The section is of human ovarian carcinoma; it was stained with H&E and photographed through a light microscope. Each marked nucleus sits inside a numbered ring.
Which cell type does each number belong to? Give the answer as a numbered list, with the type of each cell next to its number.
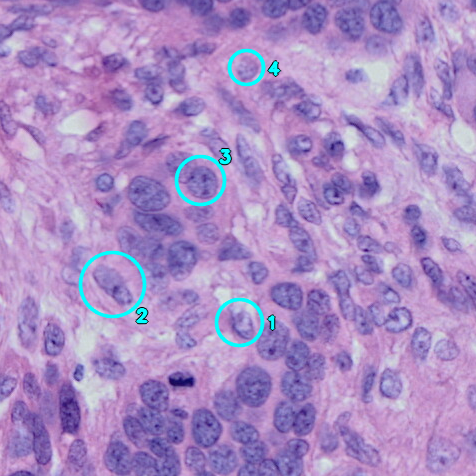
1. fibroblast
2. fibroblast
3. carcinoma cell
4. fibroblast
